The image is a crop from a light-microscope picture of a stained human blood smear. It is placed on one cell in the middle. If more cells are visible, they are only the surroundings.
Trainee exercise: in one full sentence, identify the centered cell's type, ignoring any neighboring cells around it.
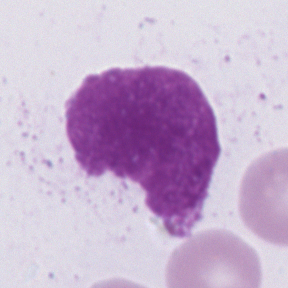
Occupying the centre of the crop is a smudge cell.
